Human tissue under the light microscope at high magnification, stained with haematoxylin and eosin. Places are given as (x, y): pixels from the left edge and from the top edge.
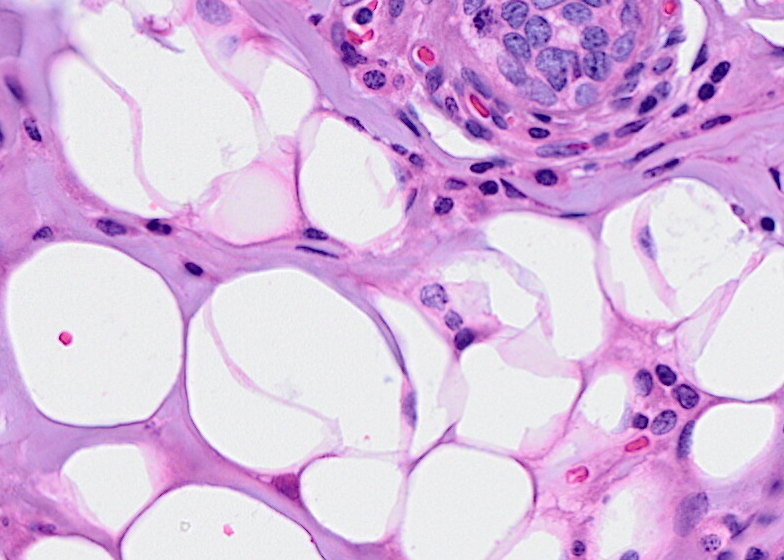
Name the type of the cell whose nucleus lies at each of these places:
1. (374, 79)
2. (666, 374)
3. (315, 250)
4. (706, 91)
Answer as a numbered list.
1. mast cell
2. lymphocyte
3. fibroblast
4. lymphocyte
